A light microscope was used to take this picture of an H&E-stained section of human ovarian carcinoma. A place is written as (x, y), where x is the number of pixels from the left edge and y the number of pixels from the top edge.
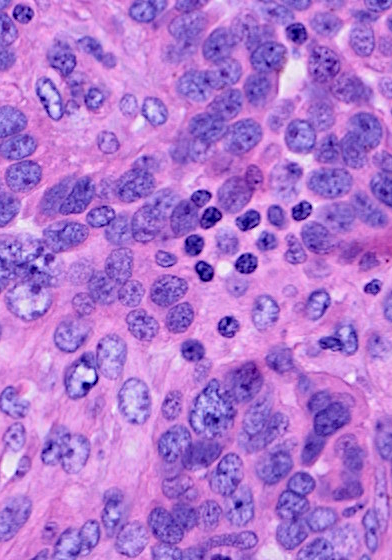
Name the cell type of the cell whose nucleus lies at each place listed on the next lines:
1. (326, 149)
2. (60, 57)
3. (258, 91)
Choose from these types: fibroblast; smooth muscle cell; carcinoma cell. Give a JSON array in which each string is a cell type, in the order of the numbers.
["carcinoma cell", "fibroblast", "carcinoma cell"]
